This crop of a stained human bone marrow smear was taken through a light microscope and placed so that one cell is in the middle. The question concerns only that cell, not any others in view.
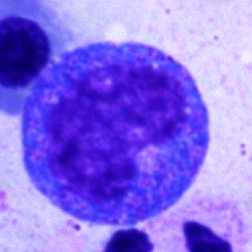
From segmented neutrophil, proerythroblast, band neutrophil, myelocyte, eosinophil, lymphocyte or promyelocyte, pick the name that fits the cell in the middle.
promyelocyte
